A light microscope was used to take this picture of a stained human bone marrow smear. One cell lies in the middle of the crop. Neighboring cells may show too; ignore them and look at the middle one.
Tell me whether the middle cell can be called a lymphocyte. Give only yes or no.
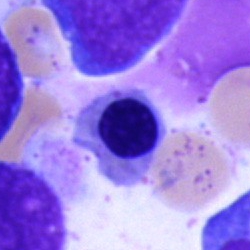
no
